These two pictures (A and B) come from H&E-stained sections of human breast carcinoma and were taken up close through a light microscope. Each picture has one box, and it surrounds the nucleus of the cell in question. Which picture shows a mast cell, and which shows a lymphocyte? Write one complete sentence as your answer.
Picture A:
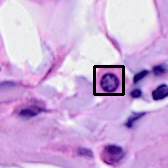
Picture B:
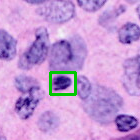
It is picture A that shows a mast cell, and picture B that shows a lymphocyte.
